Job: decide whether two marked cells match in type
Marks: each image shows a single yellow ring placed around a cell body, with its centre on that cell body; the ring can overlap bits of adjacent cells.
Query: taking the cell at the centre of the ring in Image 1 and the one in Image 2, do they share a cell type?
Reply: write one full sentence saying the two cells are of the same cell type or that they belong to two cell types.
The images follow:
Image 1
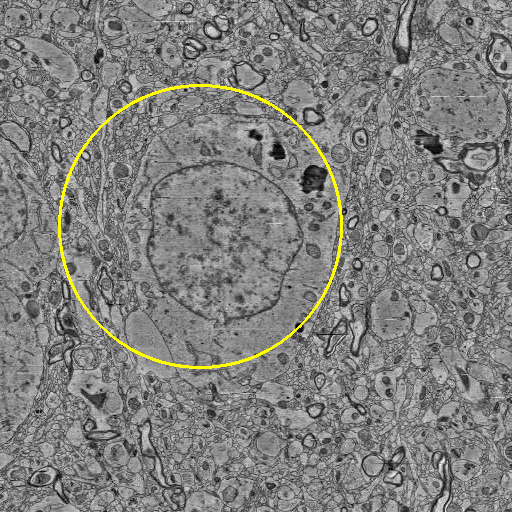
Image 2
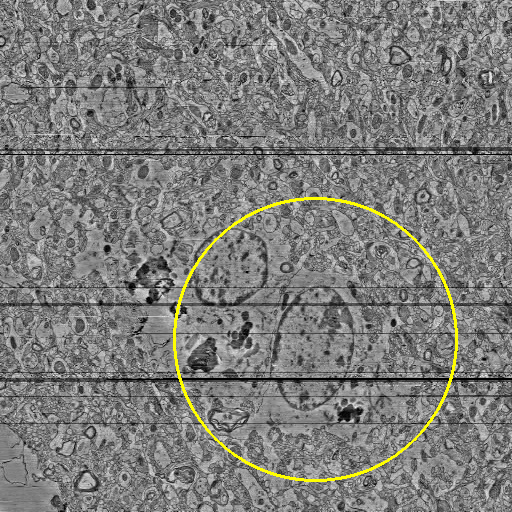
The cells at the ring centres in Image 1 and Image 2 belong to two cell types.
